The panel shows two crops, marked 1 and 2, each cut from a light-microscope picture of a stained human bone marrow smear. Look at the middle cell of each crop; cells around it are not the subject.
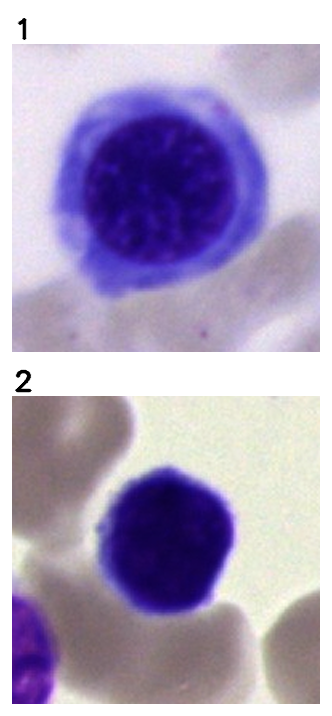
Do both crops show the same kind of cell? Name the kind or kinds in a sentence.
No: an erythroblast sits in crop 1, and a lymphocyte sits in crop 2.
